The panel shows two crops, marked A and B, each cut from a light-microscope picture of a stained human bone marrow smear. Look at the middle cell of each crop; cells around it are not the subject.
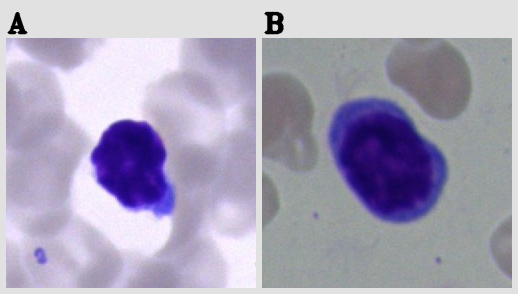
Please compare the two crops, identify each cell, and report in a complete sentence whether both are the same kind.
Yes, in the case of both crops, the central cells are lymphocytes.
